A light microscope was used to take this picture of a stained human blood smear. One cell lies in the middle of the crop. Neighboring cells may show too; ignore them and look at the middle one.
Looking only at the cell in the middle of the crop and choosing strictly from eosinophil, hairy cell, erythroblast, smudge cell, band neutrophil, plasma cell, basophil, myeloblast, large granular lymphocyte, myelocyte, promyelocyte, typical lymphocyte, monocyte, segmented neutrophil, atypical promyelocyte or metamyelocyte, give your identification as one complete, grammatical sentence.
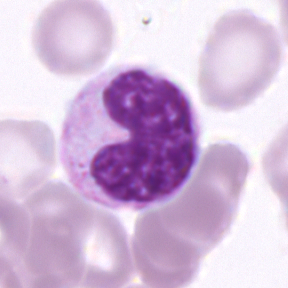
The cell featured at the centre of this crop is a metamyelocyte.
